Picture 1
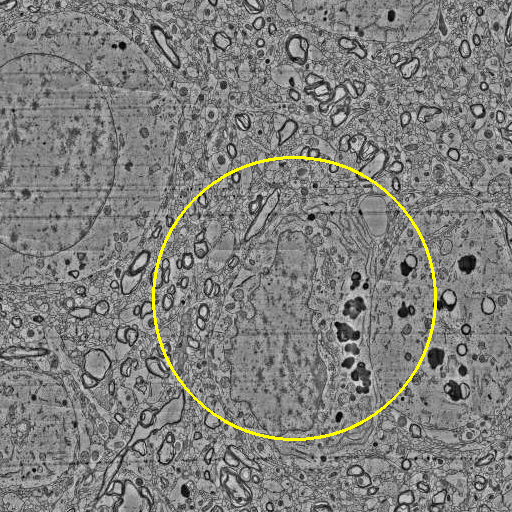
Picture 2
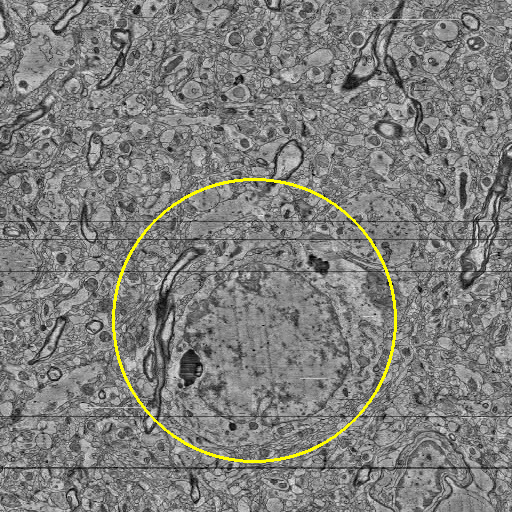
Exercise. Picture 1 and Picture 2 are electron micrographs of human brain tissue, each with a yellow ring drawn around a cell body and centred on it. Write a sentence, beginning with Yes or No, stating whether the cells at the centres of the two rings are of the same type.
Yes, the cells at the centres of both rings are of the same type.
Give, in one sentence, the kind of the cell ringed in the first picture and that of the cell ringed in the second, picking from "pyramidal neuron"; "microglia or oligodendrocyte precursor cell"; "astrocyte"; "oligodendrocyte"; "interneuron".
Each of the two pictures has an interneuron at the ring centre.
